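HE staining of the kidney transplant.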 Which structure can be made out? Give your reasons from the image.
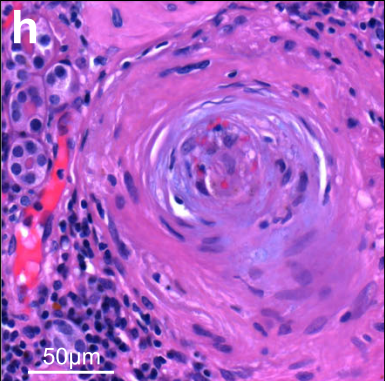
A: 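“onion-skin” lesion. A small vessel is surrounded by concentric pink layers of elongated cells. The lumen at the centre is narrowed and holds a few red cells.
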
